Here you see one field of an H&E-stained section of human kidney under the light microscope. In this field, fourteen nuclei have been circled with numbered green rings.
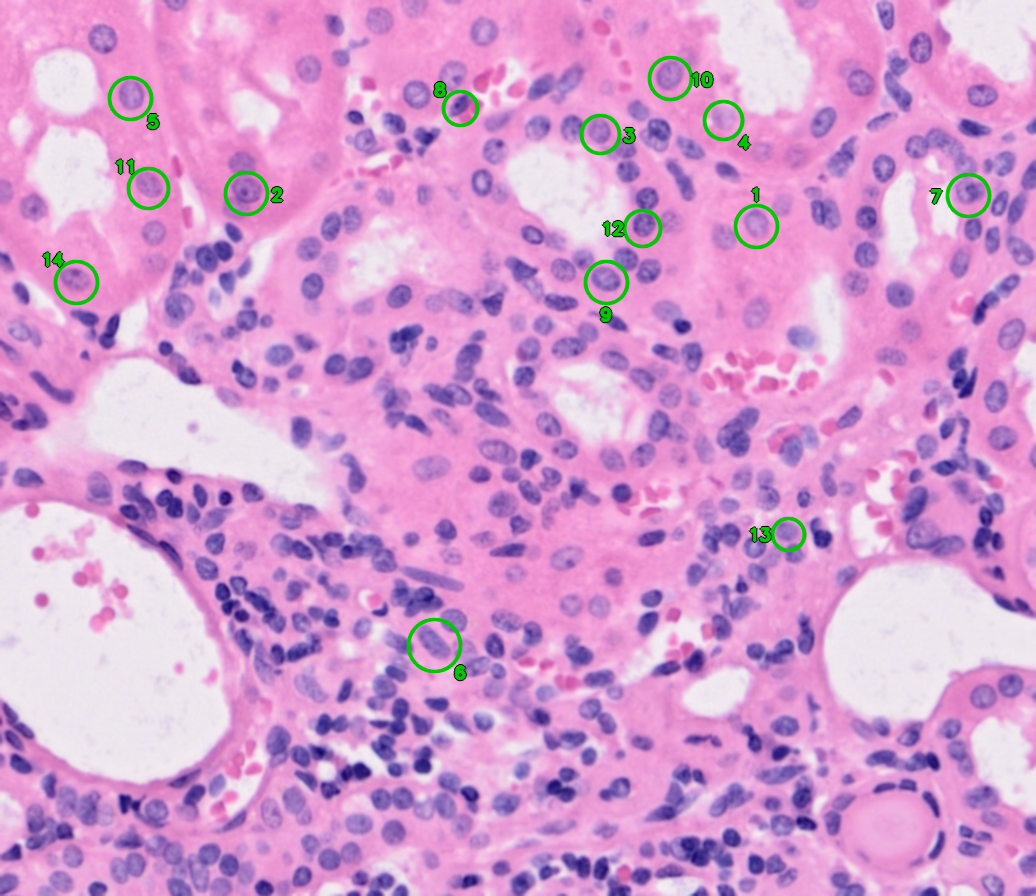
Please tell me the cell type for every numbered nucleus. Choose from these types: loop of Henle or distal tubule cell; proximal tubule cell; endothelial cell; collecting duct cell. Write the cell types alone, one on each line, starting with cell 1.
proximal tubule cell
proximal tubule cell
collecting duct cell
proximal tubule cell
proximal tubule cell
collecting duct cell
collecting duct cell
endothelial cell
collecting duct cell
proximal tubule cell
proximal tubule cell
collecting duct cell
collecting duct cell
proximal tubule cell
